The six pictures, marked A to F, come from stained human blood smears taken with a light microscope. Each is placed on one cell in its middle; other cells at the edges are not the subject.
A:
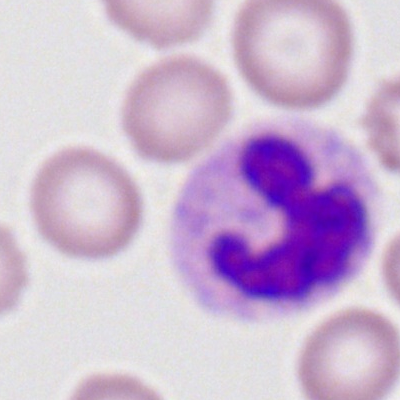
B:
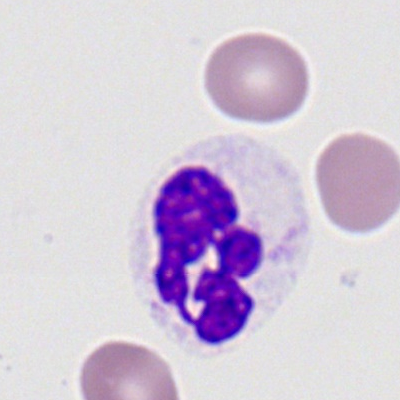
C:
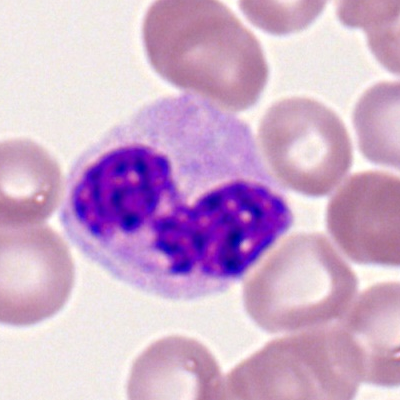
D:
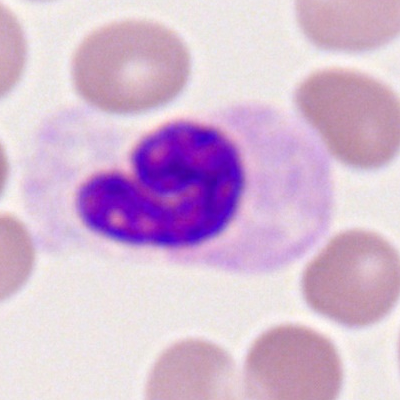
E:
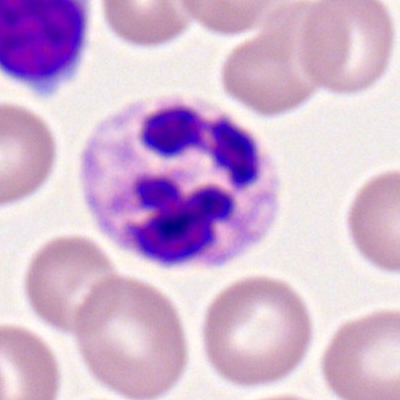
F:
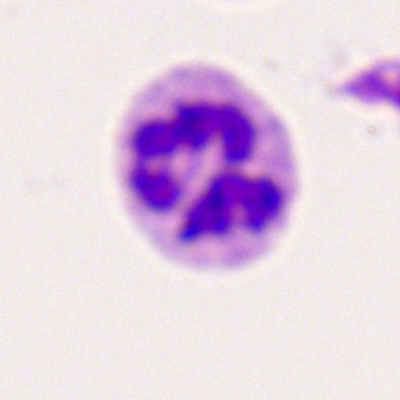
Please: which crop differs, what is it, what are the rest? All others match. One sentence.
A different cell type, a band neutrophil, occupies crop D; the other crops show segmented neutrophils.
